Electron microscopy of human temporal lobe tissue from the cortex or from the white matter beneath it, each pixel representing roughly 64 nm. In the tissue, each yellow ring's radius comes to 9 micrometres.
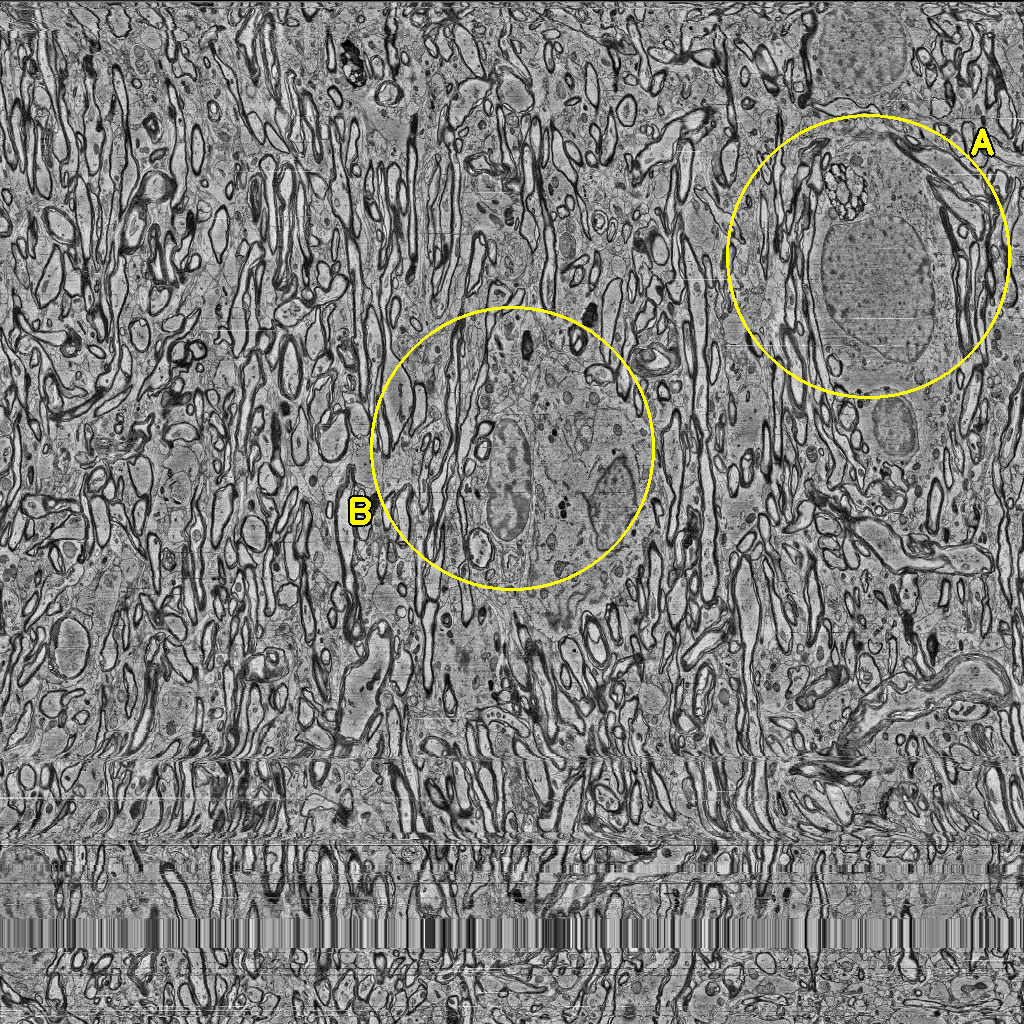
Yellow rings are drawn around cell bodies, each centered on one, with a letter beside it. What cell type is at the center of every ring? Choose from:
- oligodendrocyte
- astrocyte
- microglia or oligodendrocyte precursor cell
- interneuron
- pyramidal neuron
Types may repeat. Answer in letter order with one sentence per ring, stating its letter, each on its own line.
The cell at the center of ring A is an astrocyte.
The cell at the center of ring B is a microglial cell or oligodendrocyte precursor cell.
